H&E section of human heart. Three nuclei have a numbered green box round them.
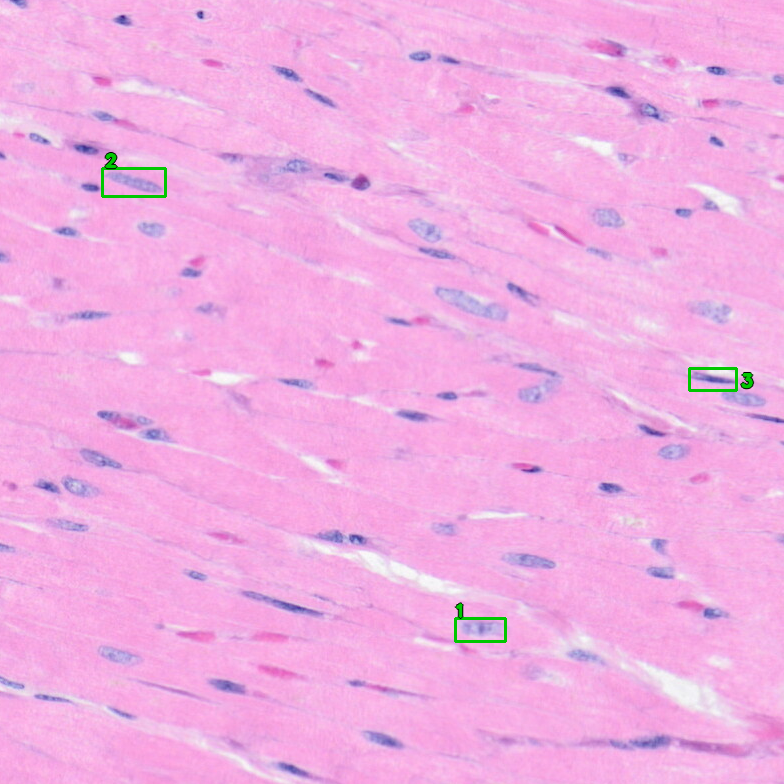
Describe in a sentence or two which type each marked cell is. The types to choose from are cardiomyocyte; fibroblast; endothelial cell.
Cells 1 and 2 are cardiomyocytes. Cell 3 is an endothelial cell.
